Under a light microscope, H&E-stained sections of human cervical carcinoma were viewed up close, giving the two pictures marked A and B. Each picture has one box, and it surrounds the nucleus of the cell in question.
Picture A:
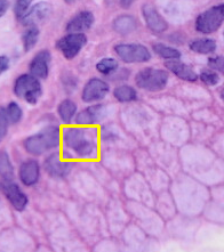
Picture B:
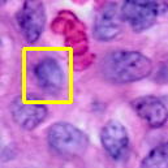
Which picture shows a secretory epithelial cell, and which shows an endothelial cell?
A: secretory epithelial cell
B: endothelial cell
